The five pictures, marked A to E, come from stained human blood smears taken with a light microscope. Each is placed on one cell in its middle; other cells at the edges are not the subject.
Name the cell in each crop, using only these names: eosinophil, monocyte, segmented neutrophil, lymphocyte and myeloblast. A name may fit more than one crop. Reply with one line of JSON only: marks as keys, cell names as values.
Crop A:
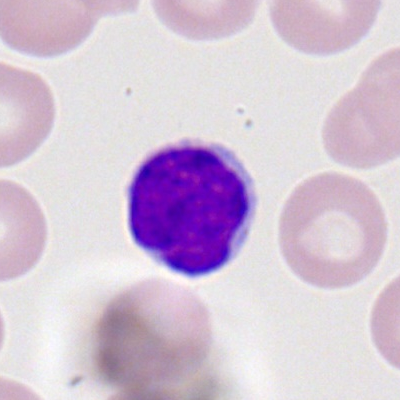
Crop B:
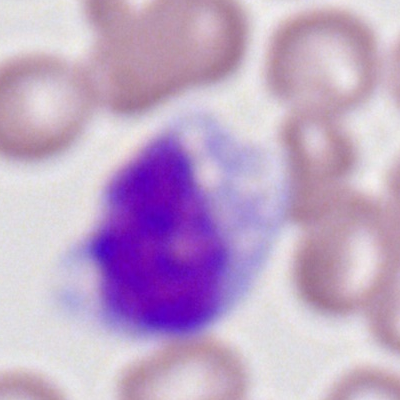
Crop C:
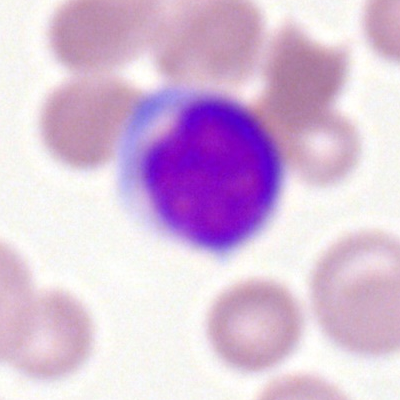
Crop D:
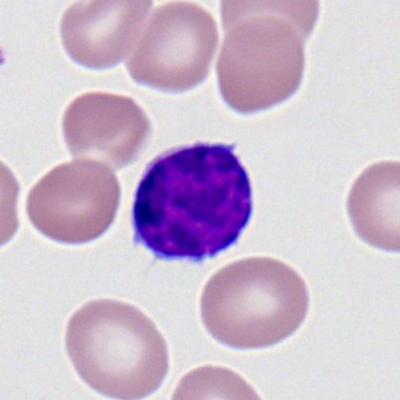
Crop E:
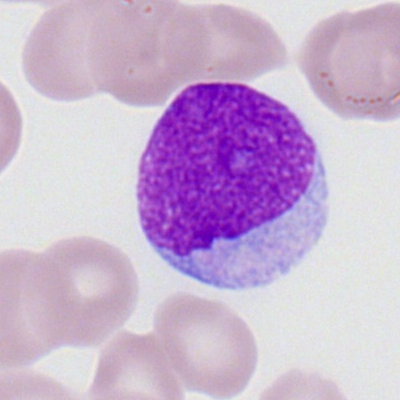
{"A": "lymphocyte", "B": "monocyte", "C": "lymphocyte", "D": "lymphocyte", "E": "myeloblast"}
